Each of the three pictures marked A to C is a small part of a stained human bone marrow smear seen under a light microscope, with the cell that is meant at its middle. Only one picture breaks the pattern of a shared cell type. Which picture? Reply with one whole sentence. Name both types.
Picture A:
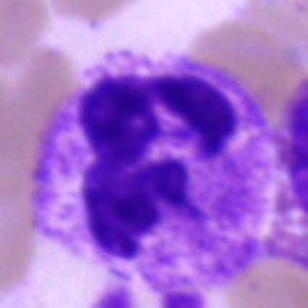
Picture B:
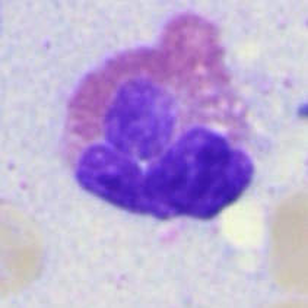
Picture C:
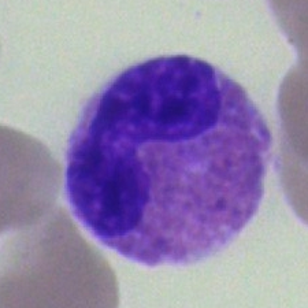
Unlike the rest, which show eosinophils, picture A shows a segmented neutrophil.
